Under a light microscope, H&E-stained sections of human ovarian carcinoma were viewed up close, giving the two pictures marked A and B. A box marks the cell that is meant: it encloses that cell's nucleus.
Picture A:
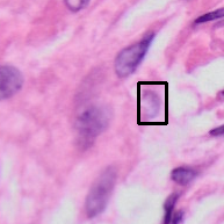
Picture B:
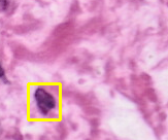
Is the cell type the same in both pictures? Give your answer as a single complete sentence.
No. Picture A shows a fibroblast, but picture B shows a “macrophage or monocyte”.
